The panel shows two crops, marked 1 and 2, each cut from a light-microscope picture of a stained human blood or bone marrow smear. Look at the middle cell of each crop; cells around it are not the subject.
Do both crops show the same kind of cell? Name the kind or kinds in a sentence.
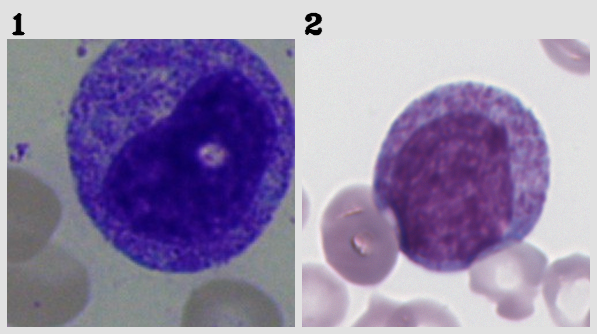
No, crop 1 features a myelocyte, and crop 2 features a promyelocyte.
